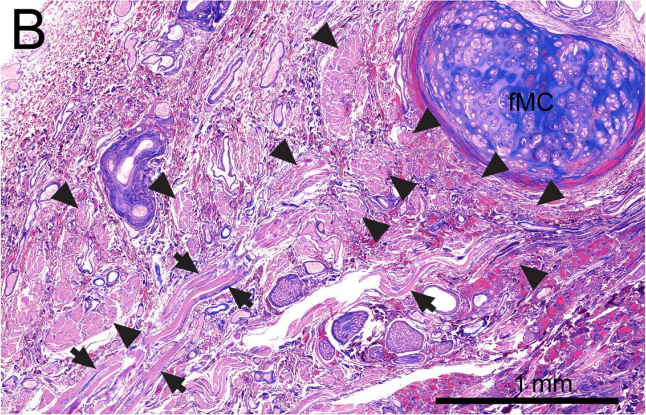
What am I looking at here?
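This section shows muscle fibers lying beside a small body of cartilage. At the upper right the cartilage stains deep blue, with many rounded lacunae holding cells, and is bordered by a pink rim. Below and to the left of it, pink muscle fibers lie in bundles: some are cut across and appear as rounded or polygonal profiles, others are cut along their length and form long parallel strands running diagonally. Between the bundles lies loose connective tissue with small vessels and nerve profiles, and a cleft-like space crosses the lower field.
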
